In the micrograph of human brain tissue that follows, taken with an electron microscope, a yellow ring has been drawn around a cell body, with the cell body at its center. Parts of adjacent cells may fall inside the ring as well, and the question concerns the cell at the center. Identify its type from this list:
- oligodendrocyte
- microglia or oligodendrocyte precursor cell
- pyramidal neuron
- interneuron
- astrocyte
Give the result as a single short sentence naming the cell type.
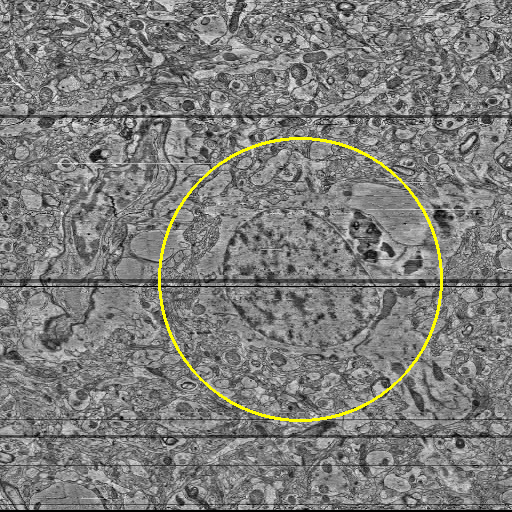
The ring is centered on an astrocyte.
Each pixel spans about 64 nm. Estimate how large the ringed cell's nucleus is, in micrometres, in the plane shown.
About 11 by 9 micrometres in this plane.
